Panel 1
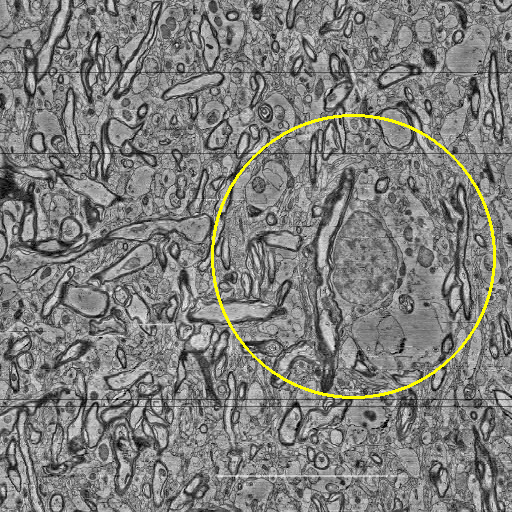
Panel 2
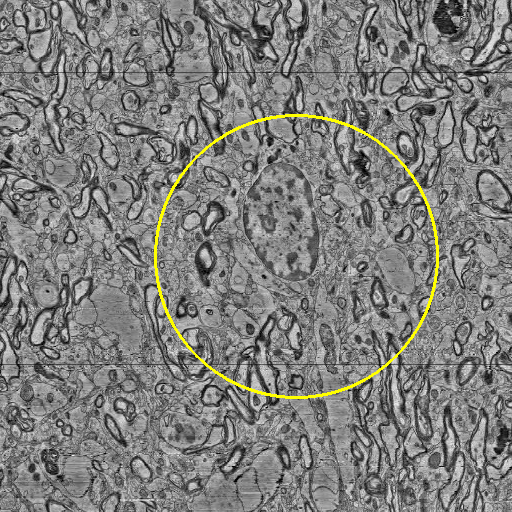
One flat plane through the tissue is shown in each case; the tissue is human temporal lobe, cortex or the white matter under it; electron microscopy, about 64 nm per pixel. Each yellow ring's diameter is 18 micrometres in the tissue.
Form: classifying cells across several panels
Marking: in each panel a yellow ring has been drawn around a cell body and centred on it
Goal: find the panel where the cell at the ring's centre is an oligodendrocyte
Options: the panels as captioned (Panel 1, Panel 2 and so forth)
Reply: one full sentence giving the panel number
Panel 1 shows the wanted cell at the centre of its ring.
